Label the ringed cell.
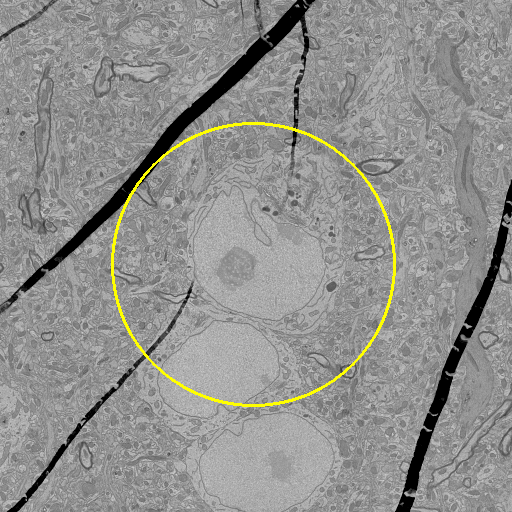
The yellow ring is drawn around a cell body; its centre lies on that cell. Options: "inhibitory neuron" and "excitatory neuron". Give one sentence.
The ringed cell is an inhibitory neuron.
